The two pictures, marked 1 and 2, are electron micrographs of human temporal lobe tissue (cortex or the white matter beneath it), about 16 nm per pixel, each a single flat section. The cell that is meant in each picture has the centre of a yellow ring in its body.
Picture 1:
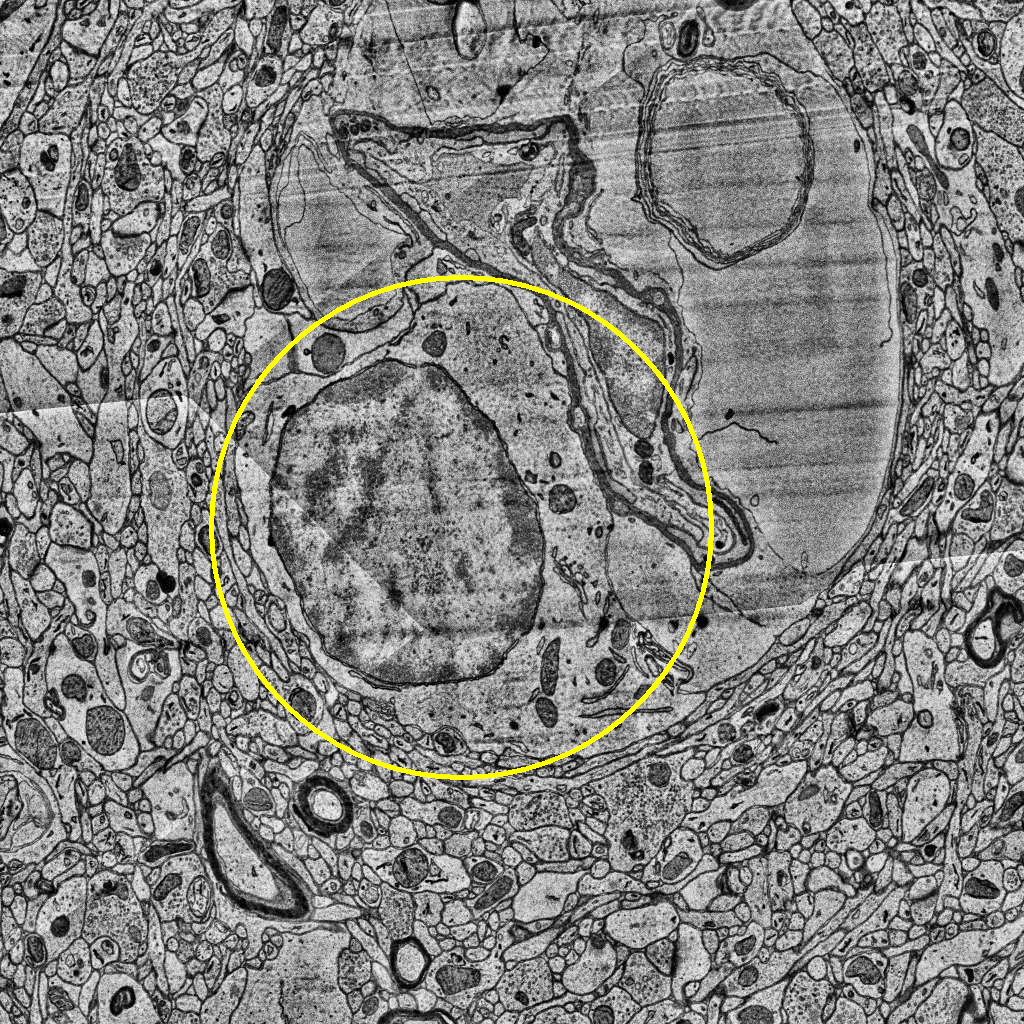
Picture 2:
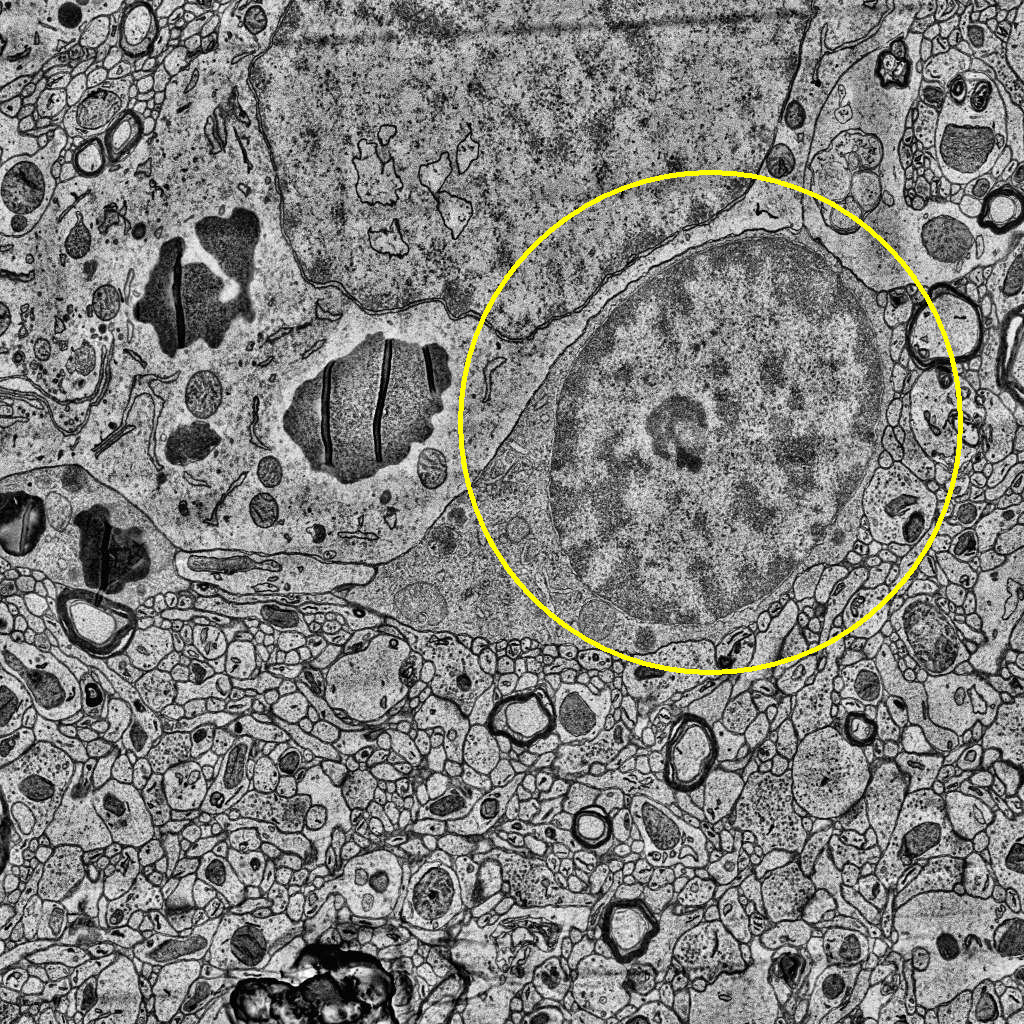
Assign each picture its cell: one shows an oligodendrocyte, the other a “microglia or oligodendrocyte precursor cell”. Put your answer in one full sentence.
The cell in picture 1 is a “microglia or oligodendrocyte precursor cell”, and the one in picture 2 is an oligodendrocyte.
